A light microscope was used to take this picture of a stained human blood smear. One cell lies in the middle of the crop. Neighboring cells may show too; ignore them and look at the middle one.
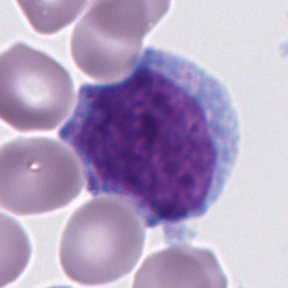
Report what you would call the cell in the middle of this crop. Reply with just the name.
promyelocyte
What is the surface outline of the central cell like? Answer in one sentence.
Not smooth, the outline of the cell is ragged or drawn out into projections.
